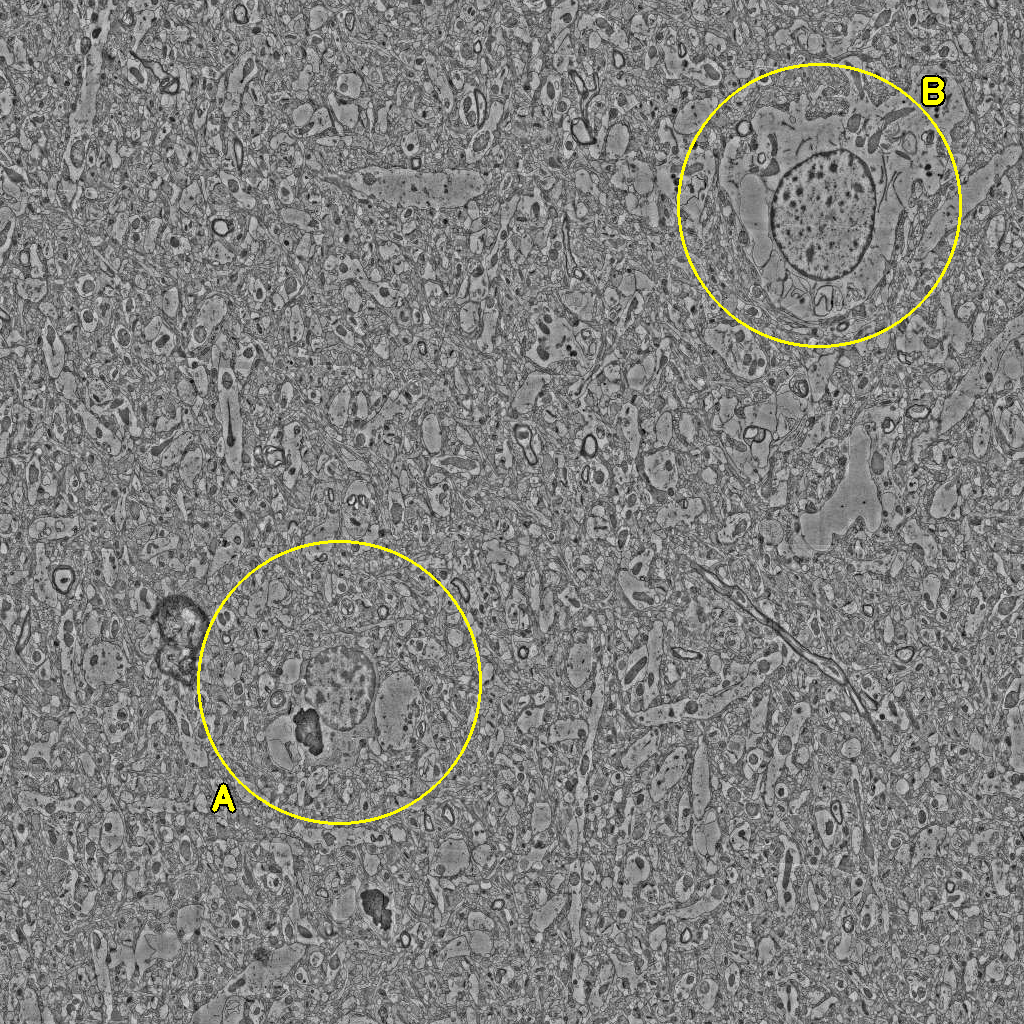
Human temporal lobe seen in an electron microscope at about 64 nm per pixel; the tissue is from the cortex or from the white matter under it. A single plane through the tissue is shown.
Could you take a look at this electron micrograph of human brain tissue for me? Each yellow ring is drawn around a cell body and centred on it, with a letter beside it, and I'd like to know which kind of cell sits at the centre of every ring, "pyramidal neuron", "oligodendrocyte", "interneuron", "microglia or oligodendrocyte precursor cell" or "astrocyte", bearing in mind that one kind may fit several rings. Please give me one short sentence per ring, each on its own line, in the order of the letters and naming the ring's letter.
Ring A is centred on an oligodendrocyte.
Ring B is centred on an astrocyte.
